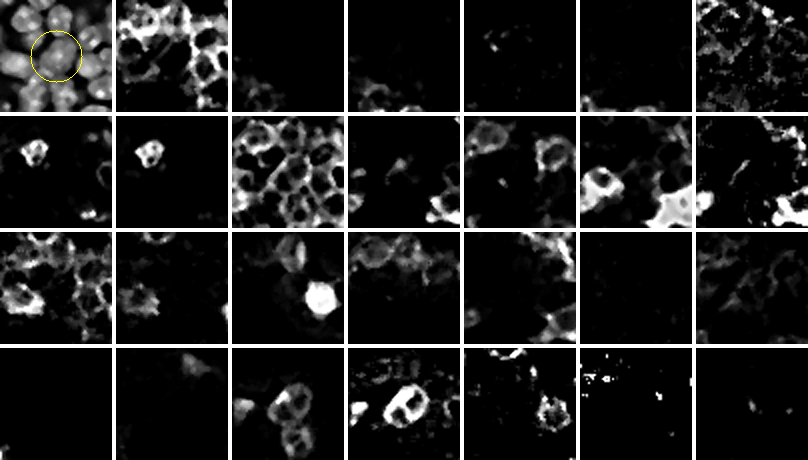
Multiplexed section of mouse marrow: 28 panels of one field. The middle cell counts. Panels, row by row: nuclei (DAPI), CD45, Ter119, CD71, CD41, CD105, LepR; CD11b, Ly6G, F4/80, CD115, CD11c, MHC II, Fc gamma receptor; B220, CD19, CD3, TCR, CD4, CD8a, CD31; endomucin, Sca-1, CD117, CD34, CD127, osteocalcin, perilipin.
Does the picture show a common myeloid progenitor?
Yes.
